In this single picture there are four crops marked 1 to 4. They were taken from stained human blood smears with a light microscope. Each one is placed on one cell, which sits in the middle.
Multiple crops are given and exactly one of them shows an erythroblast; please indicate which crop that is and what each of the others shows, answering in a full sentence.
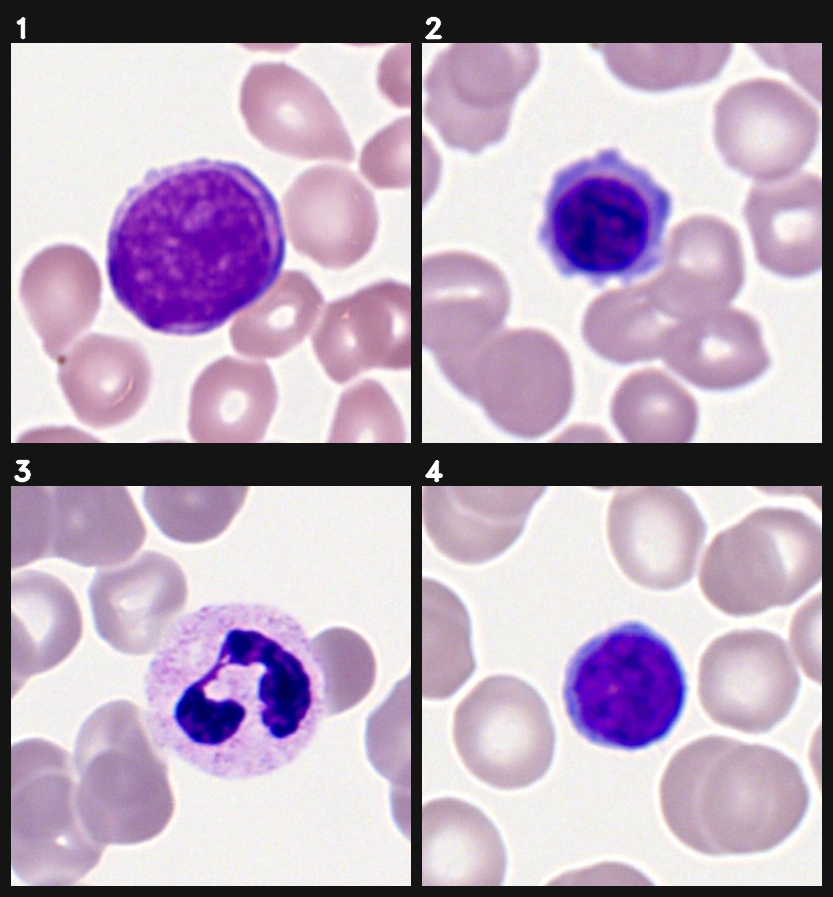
In crop 2 there is an erythroblast, while crop 1 is a myeloblast, crop 3 is a segmented neutrophil and crop 4 is a lymphocyte.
